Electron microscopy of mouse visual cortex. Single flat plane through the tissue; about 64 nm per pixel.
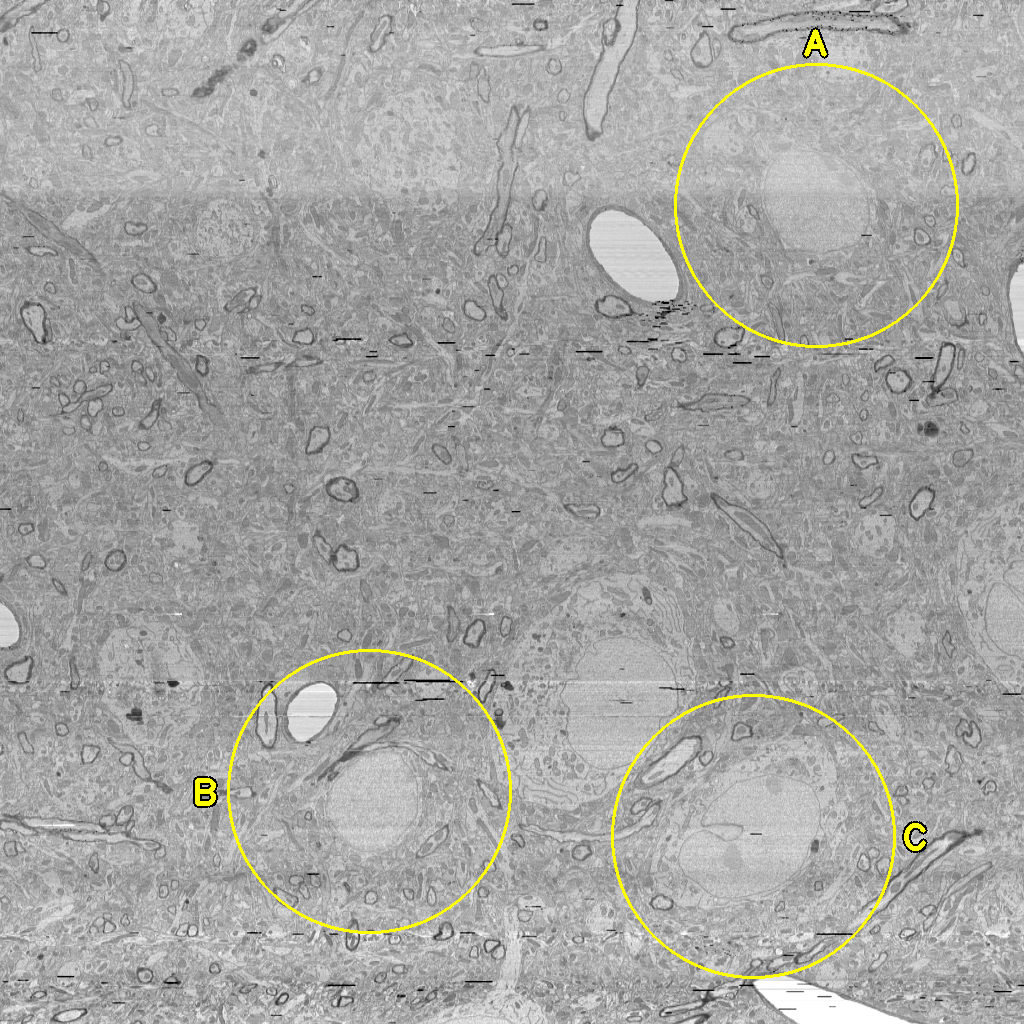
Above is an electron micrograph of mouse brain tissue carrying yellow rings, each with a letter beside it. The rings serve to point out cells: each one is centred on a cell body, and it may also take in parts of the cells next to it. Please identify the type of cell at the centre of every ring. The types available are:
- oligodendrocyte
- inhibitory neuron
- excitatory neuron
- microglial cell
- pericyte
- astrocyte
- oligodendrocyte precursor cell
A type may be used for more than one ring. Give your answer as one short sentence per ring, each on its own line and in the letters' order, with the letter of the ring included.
Ring A points to the cell body of an astrocyte.
Ring B points to the cell body of an astrocyte.
Ring C points to the cell body of an excitatory neuron.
